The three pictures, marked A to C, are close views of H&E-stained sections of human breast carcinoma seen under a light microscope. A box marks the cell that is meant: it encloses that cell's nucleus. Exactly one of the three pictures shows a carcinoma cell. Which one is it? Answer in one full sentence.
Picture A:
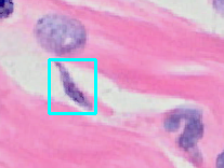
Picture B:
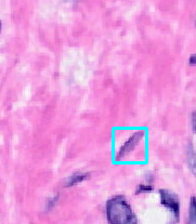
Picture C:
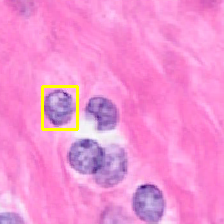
The cell in picture C is the carcinoma cell.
